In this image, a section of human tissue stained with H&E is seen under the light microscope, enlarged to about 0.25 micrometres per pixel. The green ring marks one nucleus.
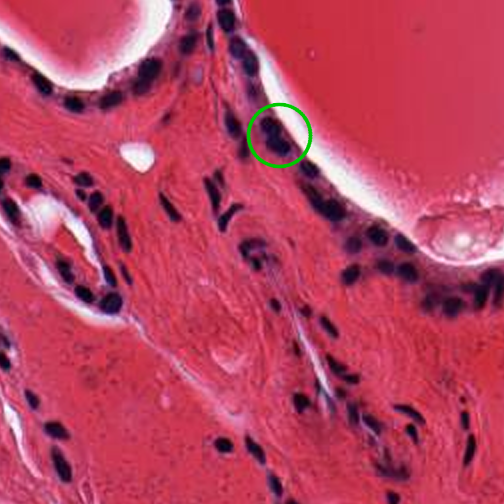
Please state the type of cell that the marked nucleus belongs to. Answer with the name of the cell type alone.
thyroid follicular cell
